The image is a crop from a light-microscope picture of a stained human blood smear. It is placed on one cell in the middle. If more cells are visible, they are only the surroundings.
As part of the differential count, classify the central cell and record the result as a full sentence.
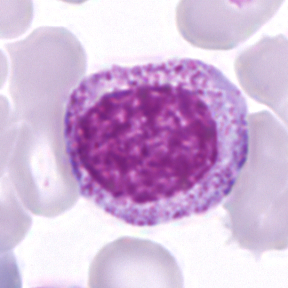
Classified as a myelocyte is the cell in the middle of this crop.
